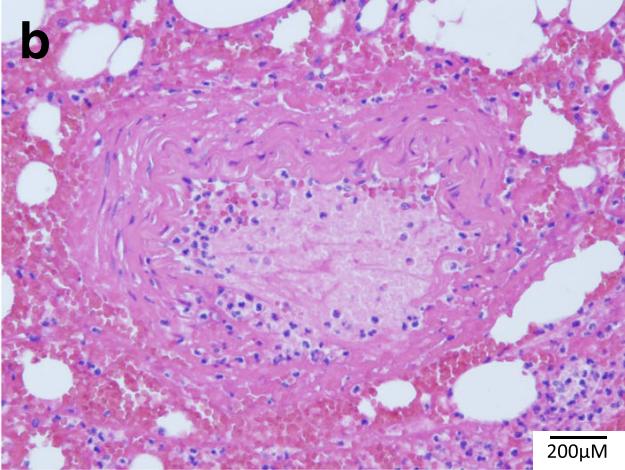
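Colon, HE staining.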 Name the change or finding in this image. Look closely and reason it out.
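A small vessel with a thick concentric pink wall sits in the middle. Its lumen is filled with pale pink, amorphous, finely fibrillar material.
Conclusion: Fibrinoid necrosis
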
